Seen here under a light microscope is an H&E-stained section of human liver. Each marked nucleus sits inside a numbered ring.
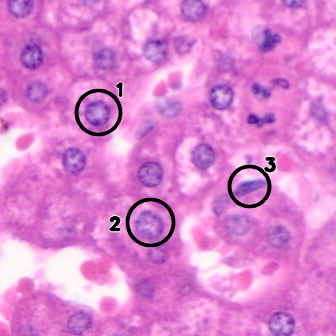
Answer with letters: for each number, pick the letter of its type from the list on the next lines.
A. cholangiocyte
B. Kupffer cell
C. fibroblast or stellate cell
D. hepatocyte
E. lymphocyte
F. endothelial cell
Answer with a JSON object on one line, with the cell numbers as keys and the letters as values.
{"1": "D", "2": "D", "3": "C"}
